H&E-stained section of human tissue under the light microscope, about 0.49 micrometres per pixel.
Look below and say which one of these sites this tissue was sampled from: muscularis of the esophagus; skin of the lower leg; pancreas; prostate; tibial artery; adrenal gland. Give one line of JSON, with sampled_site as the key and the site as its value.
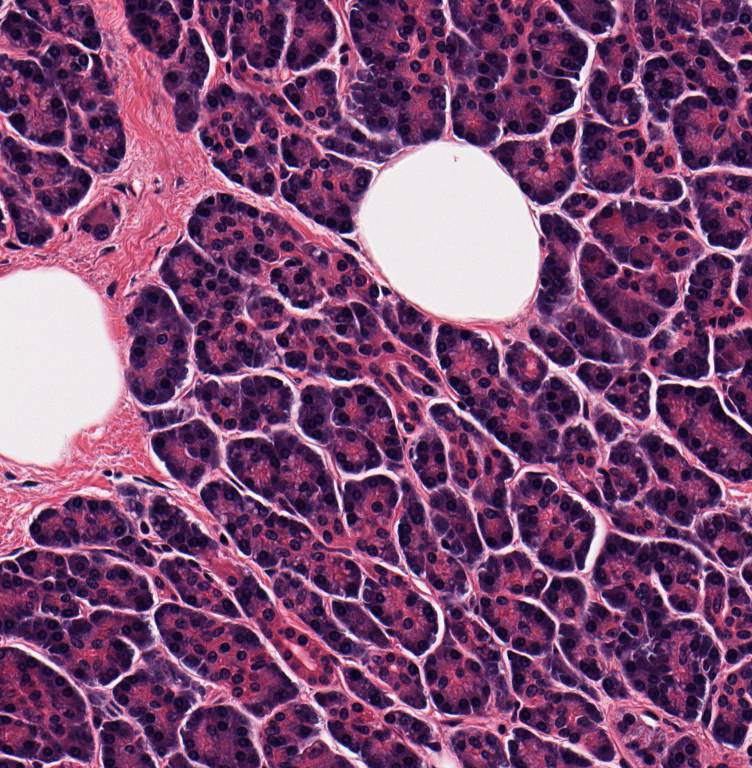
{"sampled_site": "pancreas"}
